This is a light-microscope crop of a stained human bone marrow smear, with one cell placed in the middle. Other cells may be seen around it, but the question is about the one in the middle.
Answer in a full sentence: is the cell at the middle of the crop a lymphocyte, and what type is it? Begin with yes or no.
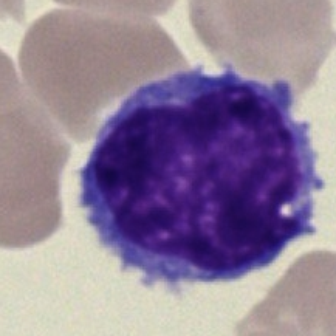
Yes, the cell at the middle of the field is to be classed as a lymphocyte.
